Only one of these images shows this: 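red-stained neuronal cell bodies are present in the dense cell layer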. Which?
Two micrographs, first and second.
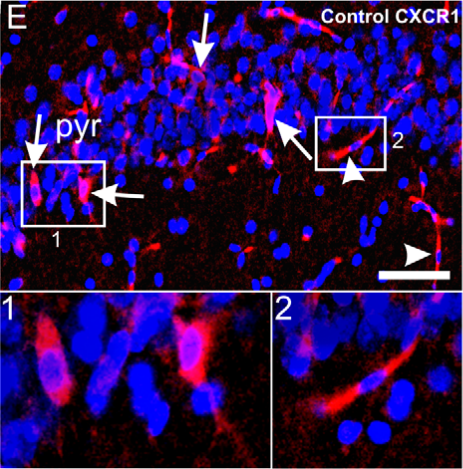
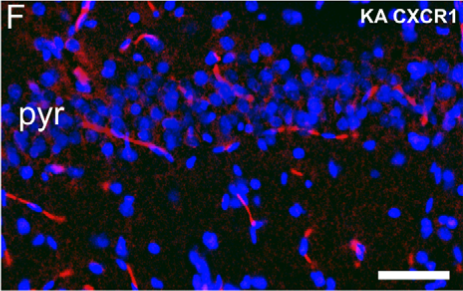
The first image.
